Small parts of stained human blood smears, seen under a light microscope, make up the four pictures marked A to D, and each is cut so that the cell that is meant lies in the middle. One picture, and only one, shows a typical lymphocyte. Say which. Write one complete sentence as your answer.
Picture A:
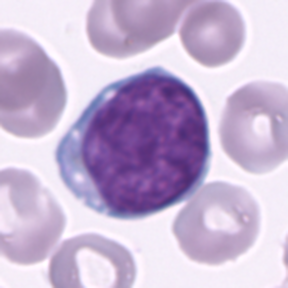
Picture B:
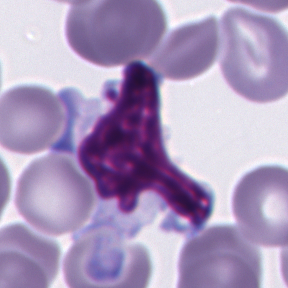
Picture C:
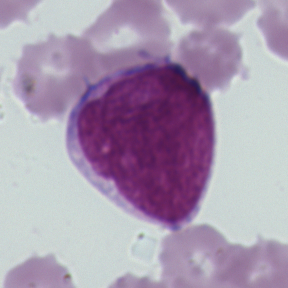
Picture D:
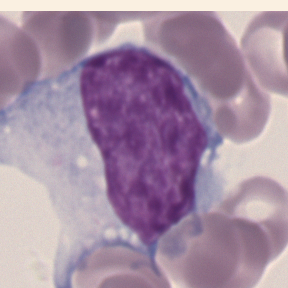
It is picture B that shows the typical lymphocyte.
